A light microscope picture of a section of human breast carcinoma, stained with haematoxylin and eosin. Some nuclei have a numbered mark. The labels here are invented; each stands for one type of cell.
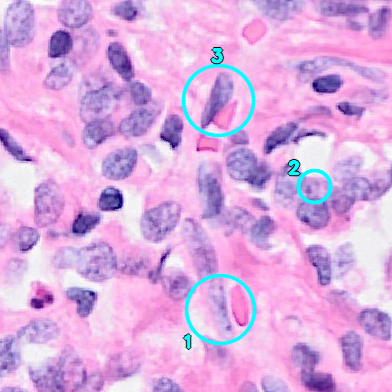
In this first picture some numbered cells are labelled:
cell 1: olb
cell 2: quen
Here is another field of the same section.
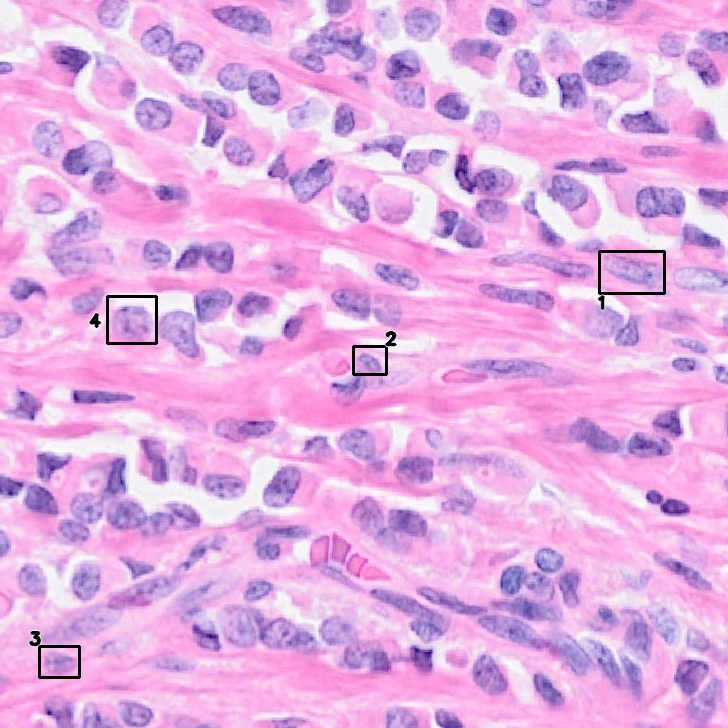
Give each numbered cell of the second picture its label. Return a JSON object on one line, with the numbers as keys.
{"1": "olb", "2": "olb", "3": "olb", "4": "quen"}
